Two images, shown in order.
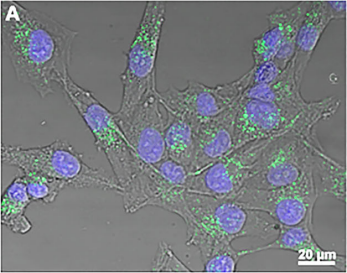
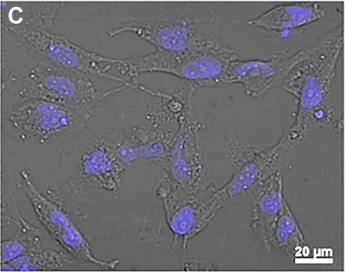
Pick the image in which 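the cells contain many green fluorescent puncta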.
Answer: The first image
